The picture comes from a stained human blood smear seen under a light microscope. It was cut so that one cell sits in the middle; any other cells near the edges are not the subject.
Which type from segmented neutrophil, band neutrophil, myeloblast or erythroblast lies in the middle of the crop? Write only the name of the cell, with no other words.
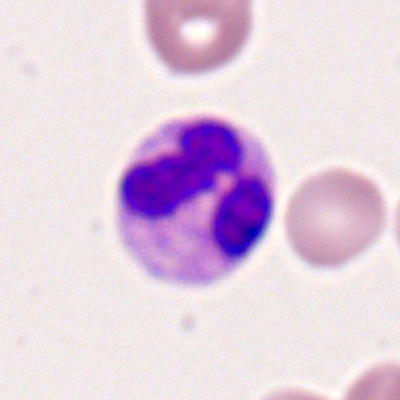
segmented neutrophil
